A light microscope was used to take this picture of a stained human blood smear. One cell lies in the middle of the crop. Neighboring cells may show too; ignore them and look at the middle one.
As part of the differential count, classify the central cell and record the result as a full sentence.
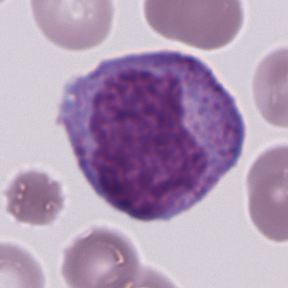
The cell under consideration, at the middle of the crop, is an atypical promyelocyte.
